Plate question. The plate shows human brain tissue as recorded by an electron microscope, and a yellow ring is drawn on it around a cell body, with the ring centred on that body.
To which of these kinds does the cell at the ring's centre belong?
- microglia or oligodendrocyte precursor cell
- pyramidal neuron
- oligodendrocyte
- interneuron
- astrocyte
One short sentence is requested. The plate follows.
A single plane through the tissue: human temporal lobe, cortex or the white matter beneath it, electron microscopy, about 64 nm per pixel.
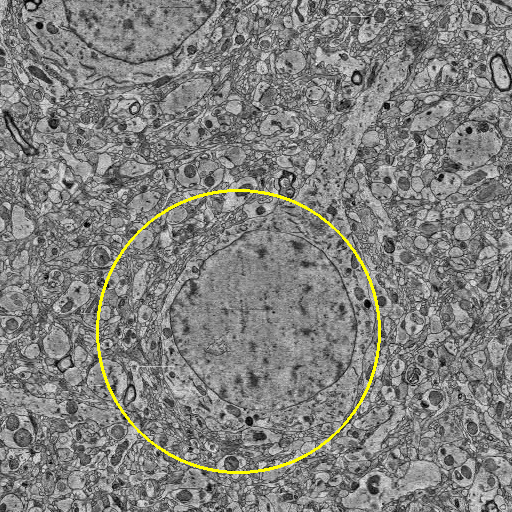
The cell at the ring's centre is a pyramidal neuron.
